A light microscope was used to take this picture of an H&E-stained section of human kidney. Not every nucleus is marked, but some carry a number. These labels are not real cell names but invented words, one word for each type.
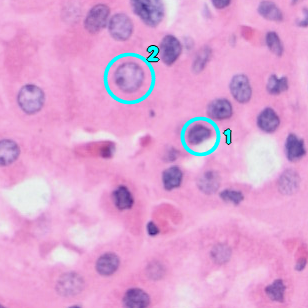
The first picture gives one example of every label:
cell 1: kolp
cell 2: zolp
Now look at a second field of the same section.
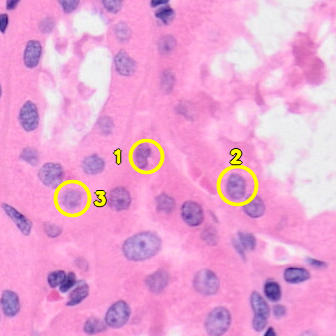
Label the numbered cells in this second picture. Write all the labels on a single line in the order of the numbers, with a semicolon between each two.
zolp; zolp; kolp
